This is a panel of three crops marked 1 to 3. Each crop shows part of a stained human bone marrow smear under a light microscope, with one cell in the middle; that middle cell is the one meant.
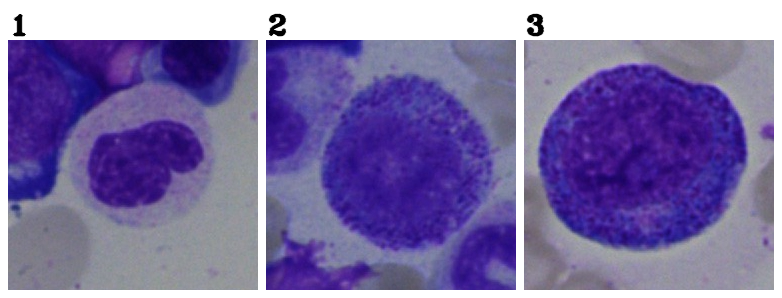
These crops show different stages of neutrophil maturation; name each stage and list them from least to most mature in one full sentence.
In terms of maturity, from least to most, the order is crop 3 (a promyelocyte), crop 2 (a myelocyte) and crop 1 (a band neutrophil).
